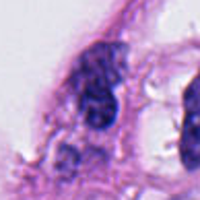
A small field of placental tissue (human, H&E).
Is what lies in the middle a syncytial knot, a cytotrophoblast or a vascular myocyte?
It is a cytotrophoblast.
